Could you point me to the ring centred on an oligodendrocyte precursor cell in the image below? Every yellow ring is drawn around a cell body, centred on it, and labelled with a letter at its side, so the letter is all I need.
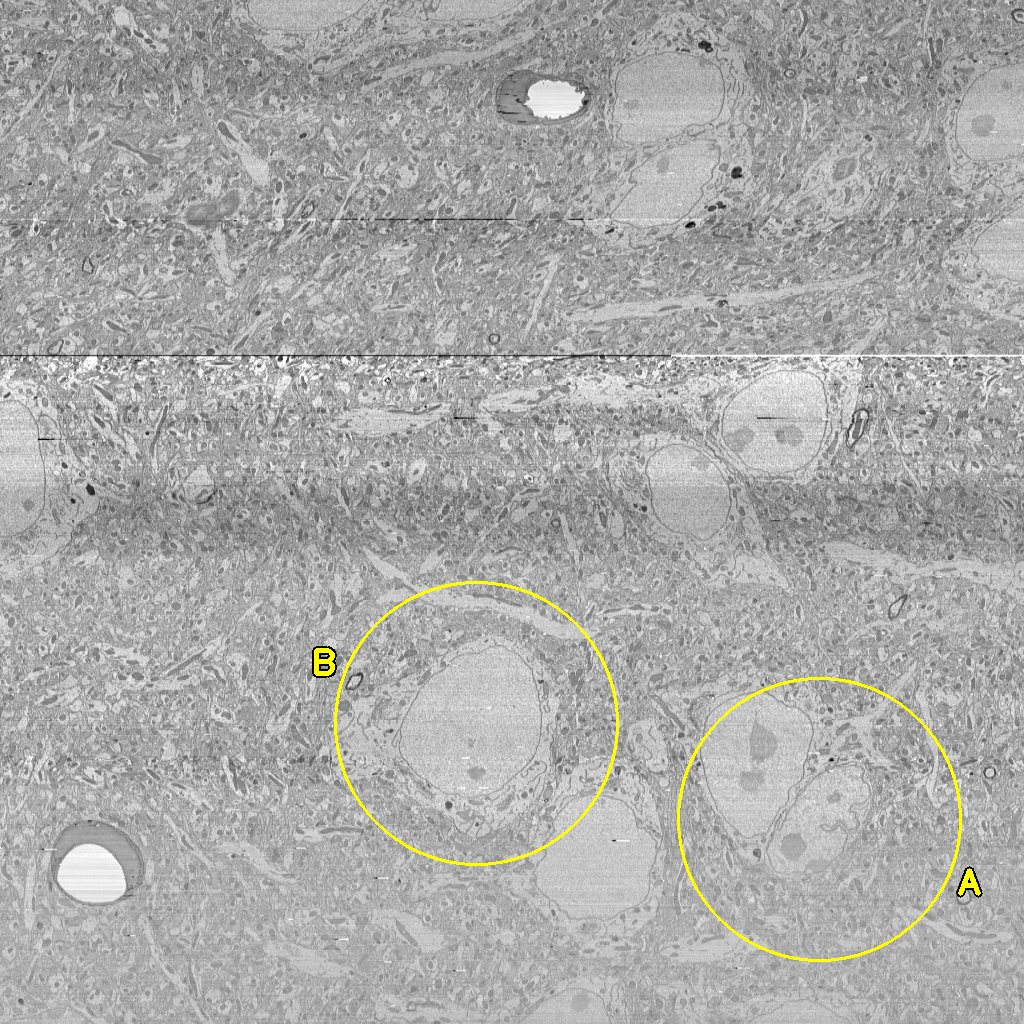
A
